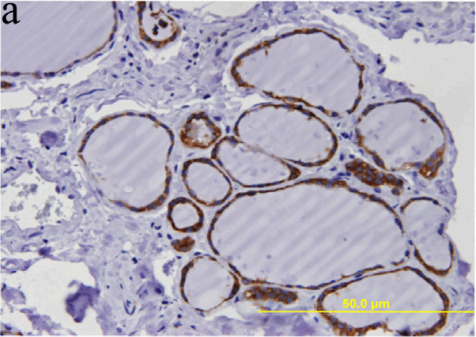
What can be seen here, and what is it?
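Thyroid tissue with round follicles of varying size, each filled with pale homogeneous colloid and lined by a single layer of flattened to cuboidal thyrocytes. The lining cells show brown cytoplasmic staining around blue nuclei. Some small follicles are packed with strongly brown cells. Loose connective tissue with pale blue nuclei lies between and around the follicles.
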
